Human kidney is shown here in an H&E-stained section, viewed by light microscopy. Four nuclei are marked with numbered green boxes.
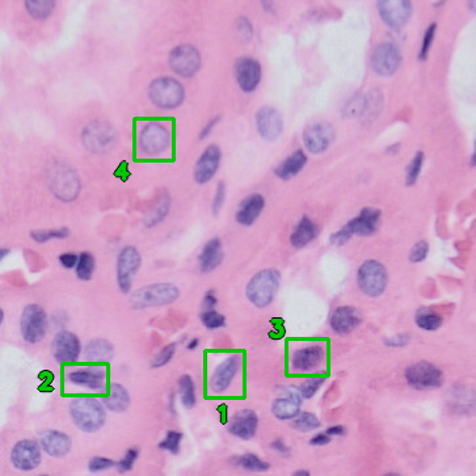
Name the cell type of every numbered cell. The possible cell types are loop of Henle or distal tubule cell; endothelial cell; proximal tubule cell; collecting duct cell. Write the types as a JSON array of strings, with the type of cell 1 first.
["endothelial cell", "collecting duct cell", "loop of Henle or distal tubule cell", "proximal tubule cell"]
